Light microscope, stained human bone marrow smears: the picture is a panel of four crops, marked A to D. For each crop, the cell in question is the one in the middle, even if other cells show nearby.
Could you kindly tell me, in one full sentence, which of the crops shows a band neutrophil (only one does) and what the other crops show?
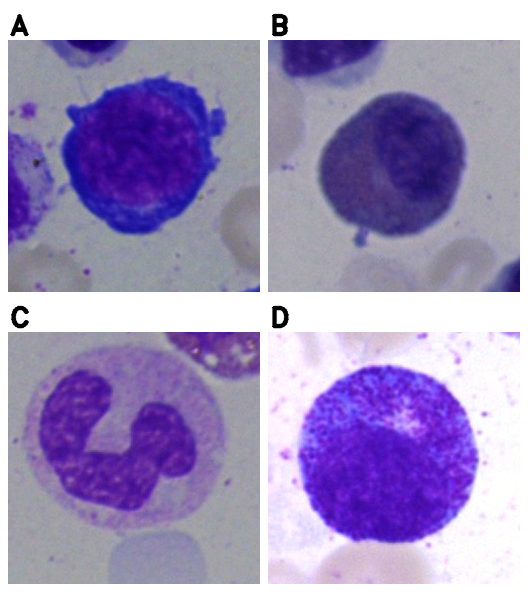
In crop C the cell is a band neutrophil, whereas crop A is a proerythroblast, crop B is an eosinophil and crop D is a promyelocyte.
